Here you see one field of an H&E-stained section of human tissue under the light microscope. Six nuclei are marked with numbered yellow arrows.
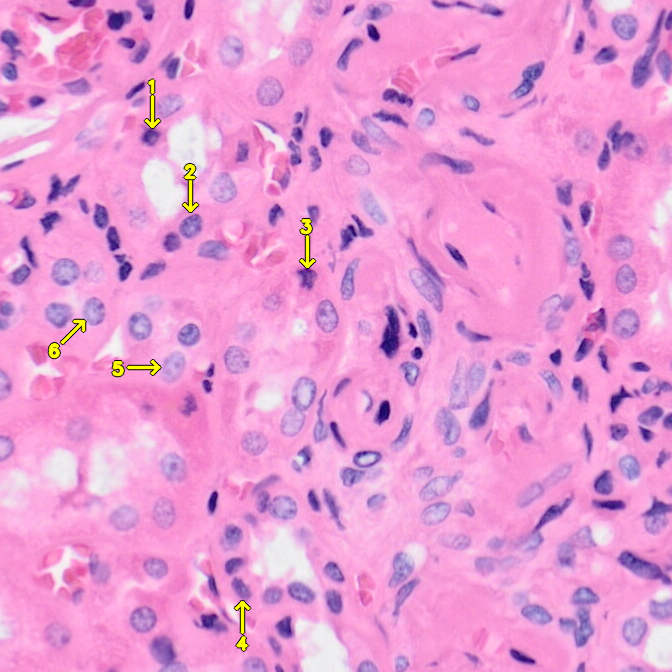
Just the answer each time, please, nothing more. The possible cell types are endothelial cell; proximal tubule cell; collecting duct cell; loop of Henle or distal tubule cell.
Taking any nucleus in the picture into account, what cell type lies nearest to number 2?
loop of Henle or distal tubule cell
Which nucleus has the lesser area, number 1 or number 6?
1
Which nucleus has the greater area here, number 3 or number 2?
2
